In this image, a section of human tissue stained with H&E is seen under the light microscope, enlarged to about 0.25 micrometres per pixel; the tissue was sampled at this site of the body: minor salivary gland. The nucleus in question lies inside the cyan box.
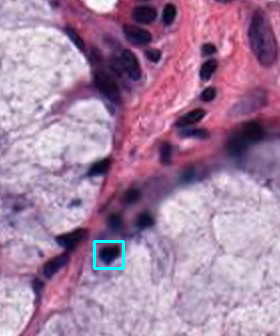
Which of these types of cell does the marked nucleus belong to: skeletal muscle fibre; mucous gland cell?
mucous gland cell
